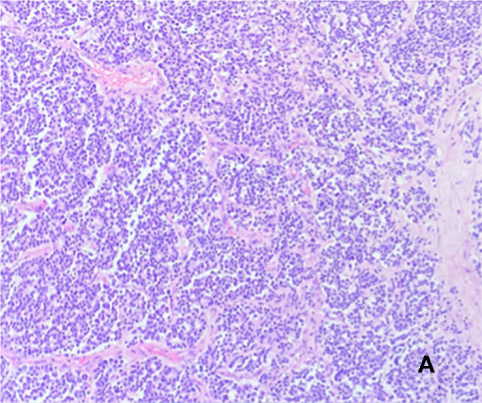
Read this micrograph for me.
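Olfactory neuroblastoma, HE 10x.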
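At low magnification a densely cellular tumour is seen, made of innumerable small dark blue cells packed into lobules and nests. Thin pink fibrous and vascular septa run between the nests, splitting the tumour into irregular lobes, with narrow clear clefts along some of them. Toward the right edge a broader band of pale pink, hyalinized fibrous tissue with sparse spindle nuclei borders the cell sheets. The tumour cells have little visible cytoplasm, so their nuclei dominate the picture.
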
